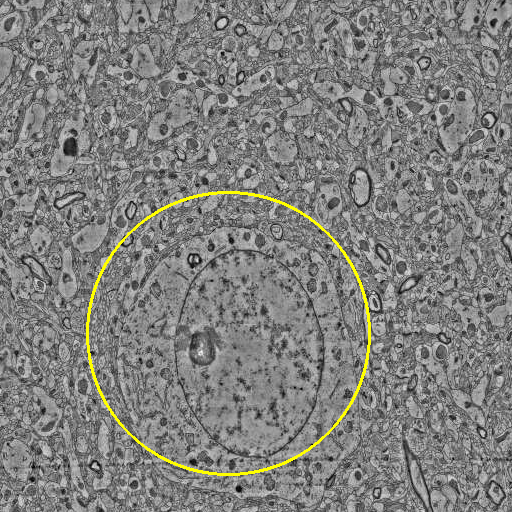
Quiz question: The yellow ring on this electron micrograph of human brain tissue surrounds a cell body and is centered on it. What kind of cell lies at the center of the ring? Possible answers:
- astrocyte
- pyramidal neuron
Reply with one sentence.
The ring's center lies on a pyramidal neuron.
